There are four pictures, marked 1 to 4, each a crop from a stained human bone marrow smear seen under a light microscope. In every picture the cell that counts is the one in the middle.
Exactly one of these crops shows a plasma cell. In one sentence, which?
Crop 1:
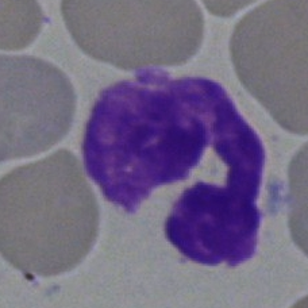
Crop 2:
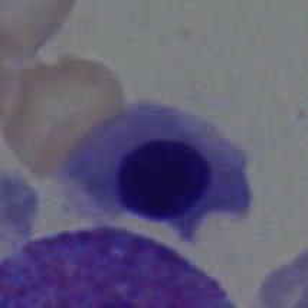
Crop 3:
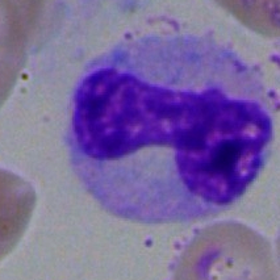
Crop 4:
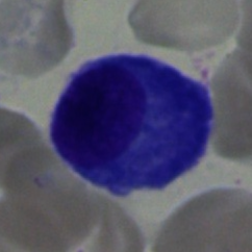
Crop 4, and no other, shows a plasma cell.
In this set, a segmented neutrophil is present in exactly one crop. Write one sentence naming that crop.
Crop 1 represents a segmented neutrophil, while the other crops do not.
